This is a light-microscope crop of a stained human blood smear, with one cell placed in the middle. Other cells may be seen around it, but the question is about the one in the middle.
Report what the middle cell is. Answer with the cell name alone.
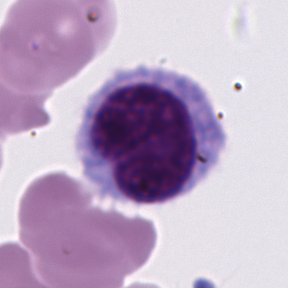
hairy cell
